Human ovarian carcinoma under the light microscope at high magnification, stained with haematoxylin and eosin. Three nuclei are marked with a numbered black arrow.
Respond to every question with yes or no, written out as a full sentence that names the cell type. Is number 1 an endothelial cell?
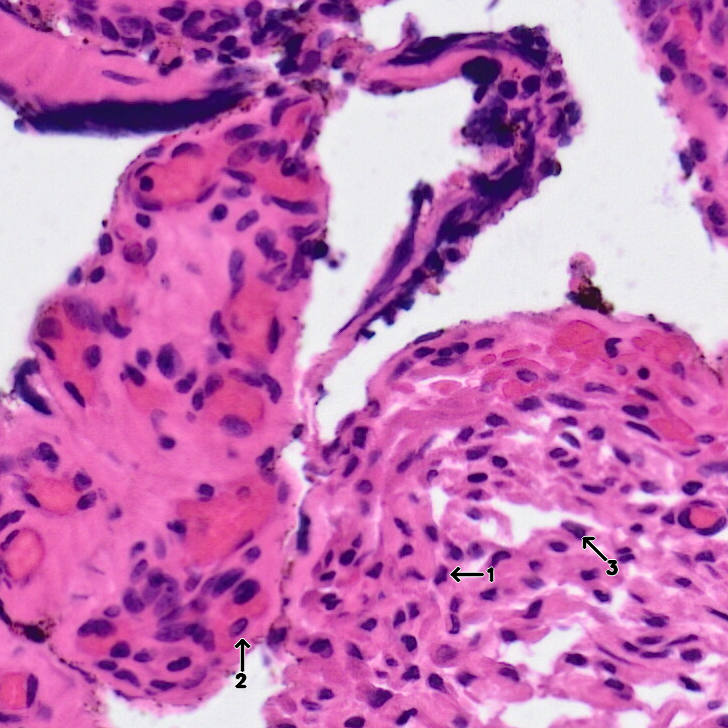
No, cell 1 is not to be taken for an endothelial cell; it is a fibroblast.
